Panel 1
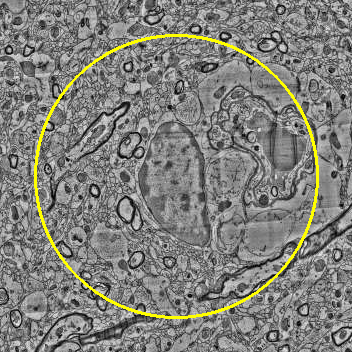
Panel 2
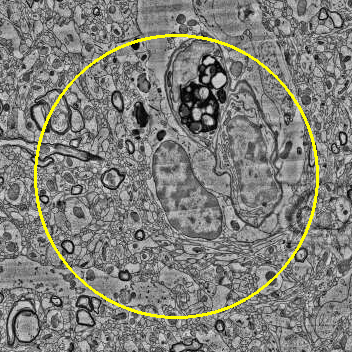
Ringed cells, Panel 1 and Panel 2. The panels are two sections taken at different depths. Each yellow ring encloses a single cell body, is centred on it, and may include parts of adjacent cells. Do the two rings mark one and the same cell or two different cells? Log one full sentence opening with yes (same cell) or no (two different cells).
No, the yellow rings mark two separate cells, not one.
